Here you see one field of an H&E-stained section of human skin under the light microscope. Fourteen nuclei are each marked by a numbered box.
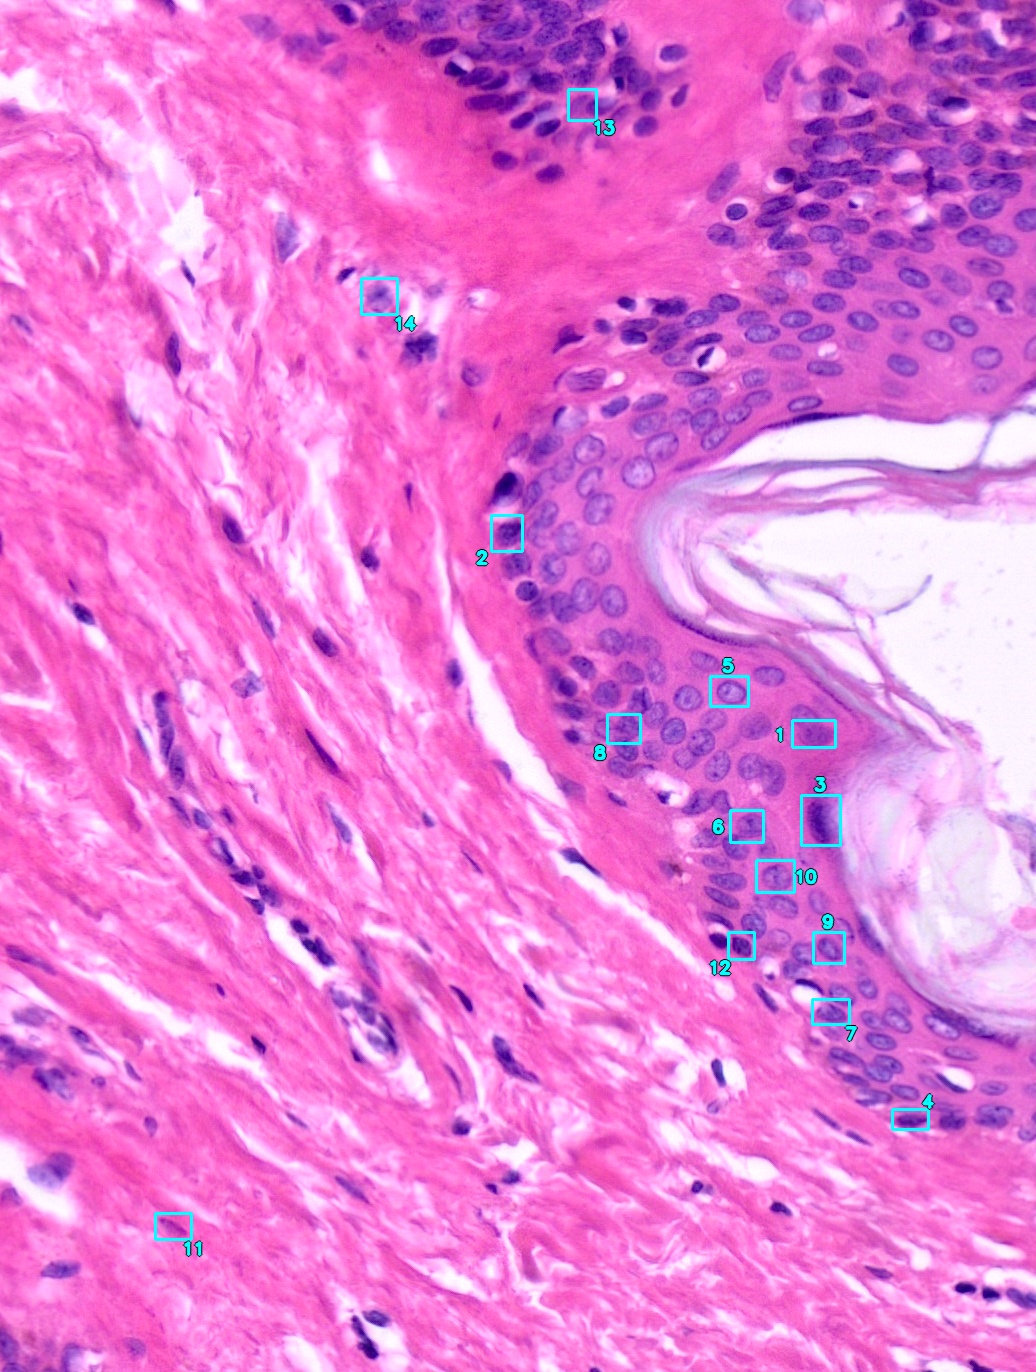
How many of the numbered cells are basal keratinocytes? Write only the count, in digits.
6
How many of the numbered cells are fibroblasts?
1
